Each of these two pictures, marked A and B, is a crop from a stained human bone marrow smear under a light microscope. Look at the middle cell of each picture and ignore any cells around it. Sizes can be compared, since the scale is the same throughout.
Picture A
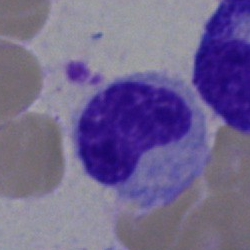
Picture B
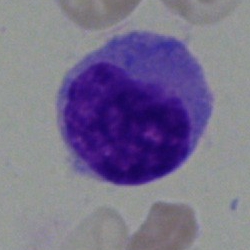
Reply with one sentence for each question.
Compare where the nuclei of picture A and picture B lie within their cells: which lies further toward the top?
In picture A the nucleus is shifted more toward the top.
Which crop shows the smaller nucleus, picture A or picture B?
It is the nucleus in picture A; the one in picture B has about 1.5 times its area.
